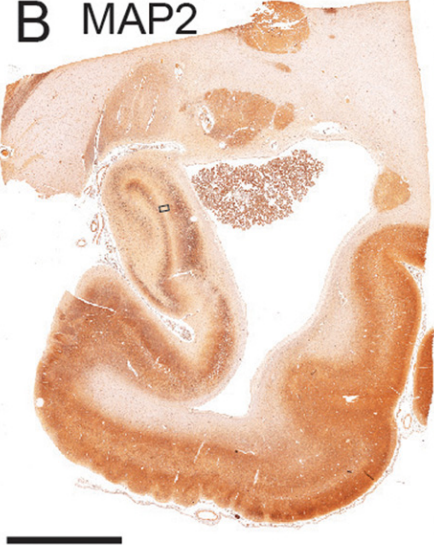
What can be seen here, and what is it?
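This low-magnification section shows a hippocampus together with the adjacent folded cortex, with grey matter stained brown and white matter pale. The hippocampus appears as a curled band of brown layers that stands upright, its long axis running from top to bottom rather than lying horizontally. On one side of the hippocampus lies a large empty cavity, and within the space above it sits an oval cluster of small reddish-brown bodies. Broad folds of cortex with a thick dark brown layer curve around the lower part of the section, separated by pale white matter. Individual cells cannot be told apart at this scale.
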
